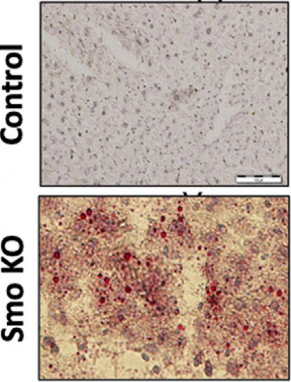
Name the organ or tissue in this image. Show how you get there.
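Sheets of polygonal cells with round central nuclei. Vessel-like clefts run through the parenchyma. Red-stained droplets sit within the cytoplasm of many cells in the lower field. That points to this answer: liver.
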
